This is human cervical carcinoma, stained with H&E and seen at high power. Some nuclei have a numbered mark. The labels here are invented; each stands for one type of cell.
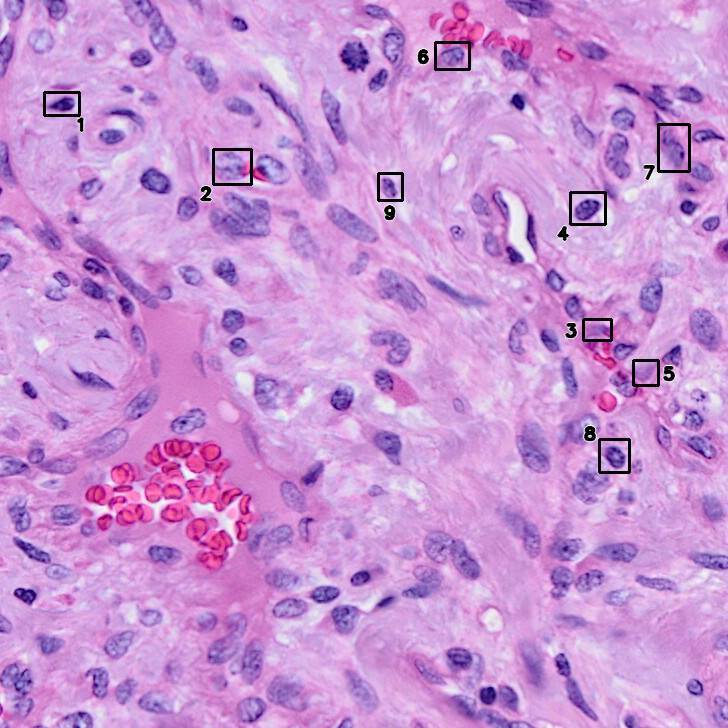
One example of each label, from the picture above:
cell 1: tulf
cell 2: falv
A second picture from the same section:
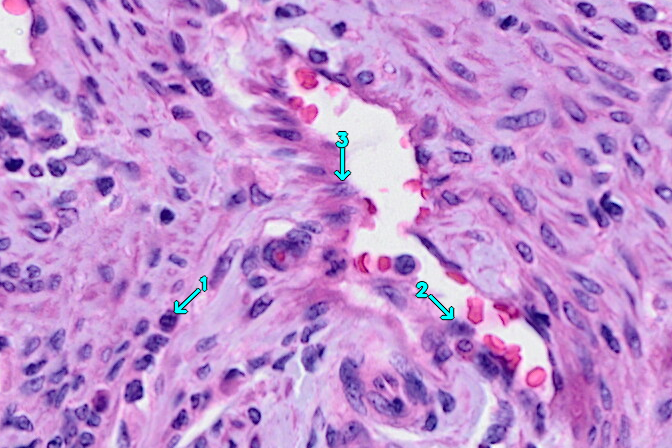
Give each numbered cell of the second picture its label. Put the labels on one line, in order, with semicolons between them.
tulf; falv; falv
